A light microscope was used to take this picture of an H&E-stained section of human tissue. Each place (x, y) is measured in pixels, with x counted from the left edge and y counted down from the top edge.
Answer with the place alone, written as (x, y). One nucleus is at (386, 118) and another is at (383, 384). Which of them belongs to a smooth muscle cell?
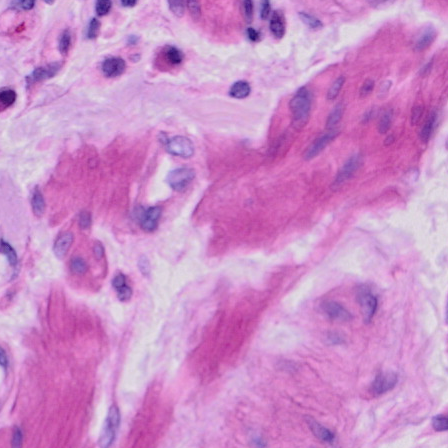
(386, 118)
